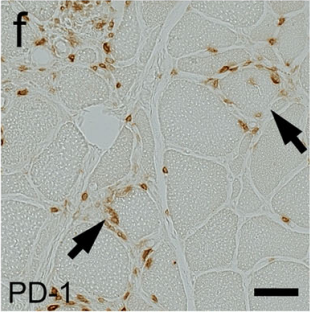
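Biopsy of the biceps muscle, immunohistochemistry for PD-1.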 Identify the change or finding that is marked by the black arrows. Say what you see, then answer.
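Small elongated brown cells lie along fiber borders. At the arrows brown cells sit against the edges of pale fibers.
Answer: surrounding and invading non-necrotic fibers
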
